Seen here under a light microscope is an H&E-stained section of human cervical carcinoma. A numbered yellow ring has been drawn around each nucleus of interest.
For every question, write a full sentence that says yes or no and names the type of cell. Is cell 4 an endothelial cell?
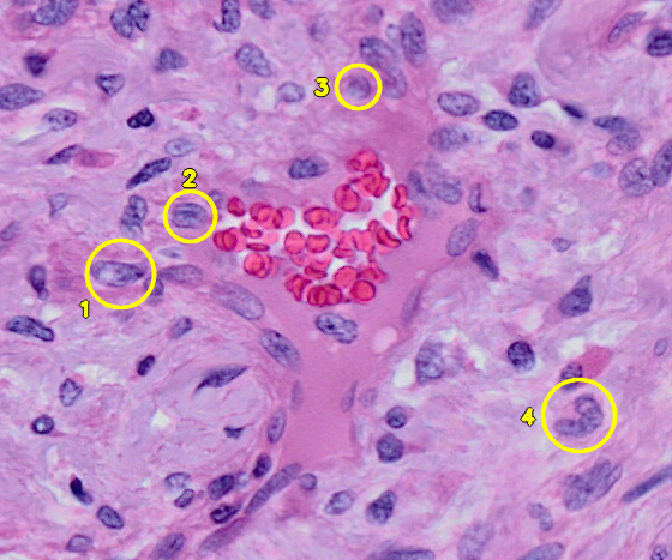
No, the cell at marker 4 is not an endothelial cell; it is a macrophage or monocyte.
